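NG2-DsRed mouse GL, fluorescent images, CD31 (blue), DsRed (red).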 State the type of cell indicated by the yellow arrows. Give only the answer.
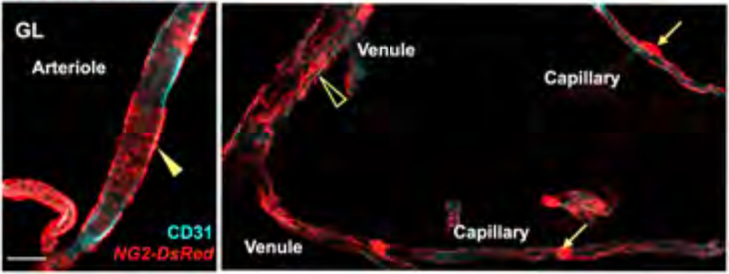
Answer: Pericytes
